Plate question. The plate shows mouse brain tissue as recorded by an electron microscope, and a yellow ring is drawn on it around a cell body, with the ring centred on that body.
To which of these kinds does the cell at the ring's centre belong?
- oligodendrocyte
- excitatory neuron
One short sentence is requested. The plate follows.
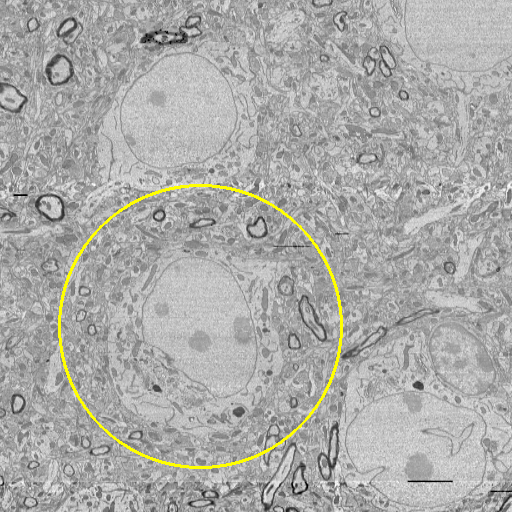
The cell at the ring's centre is an excitatory neuron.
